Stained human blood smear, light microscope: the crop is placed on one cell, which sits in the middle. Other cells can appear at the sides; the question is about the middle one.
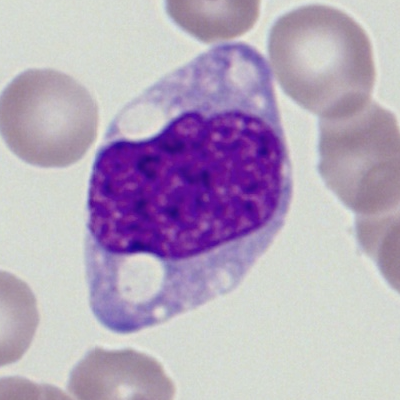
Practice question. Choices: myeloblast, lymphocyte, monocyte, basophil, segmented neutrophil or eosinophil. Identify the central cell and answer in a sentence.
Among the cells in view, the one in the middle is a monocyte.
